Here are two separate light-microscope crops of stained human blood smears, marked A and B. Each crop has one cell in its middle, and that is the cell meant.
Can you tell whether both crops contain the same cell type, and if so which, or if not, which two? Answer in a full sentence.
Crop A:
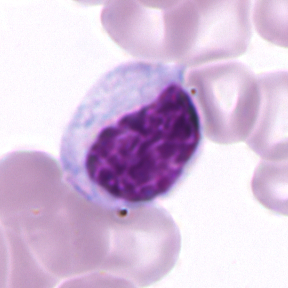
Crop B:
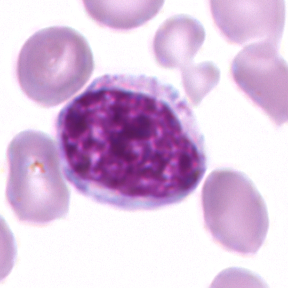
Yes, both crops show metamyelocytes as the central cells.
